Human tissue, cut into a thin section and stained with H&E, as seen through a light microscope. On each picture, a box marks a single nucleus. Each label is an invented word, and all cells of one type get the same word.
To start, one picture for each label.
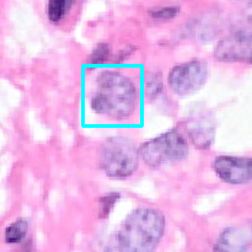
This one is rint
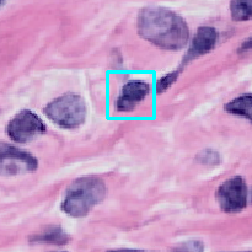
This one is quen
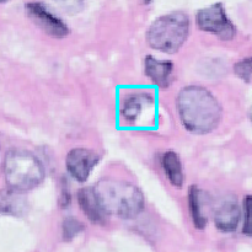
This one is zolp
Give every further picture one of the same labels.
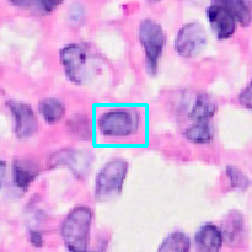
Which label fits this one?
rint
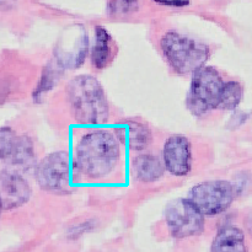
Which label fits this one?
rint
